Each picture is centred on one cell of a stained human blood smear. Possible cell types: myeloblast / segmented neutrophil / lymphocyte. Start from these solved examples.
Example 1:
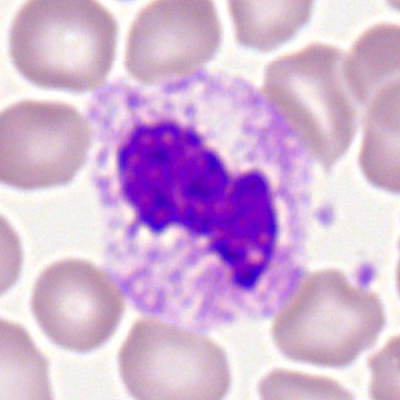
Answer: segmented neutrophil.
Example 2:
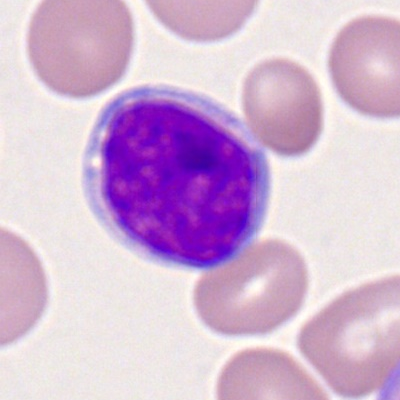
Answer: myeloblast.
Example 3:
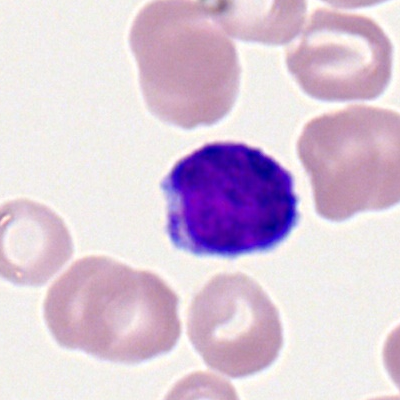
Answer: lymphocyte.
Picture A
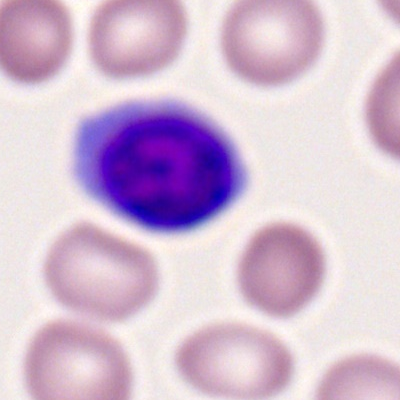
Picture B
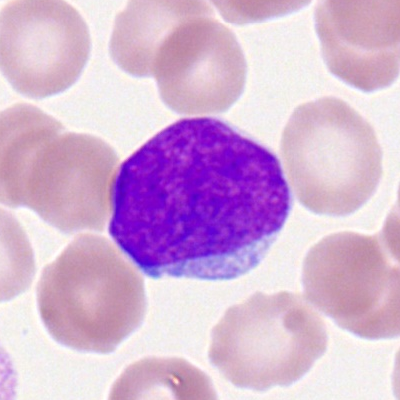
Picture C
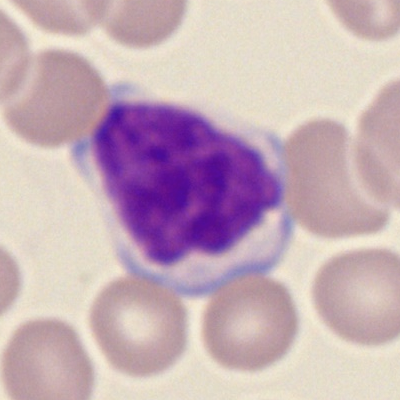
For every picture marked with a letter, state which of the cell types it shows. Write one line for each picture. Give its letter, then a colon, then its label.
A: lymphocyte.
B: myeloblast.
C: lymphocyte.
